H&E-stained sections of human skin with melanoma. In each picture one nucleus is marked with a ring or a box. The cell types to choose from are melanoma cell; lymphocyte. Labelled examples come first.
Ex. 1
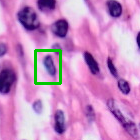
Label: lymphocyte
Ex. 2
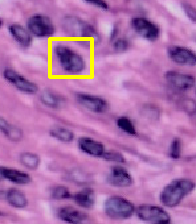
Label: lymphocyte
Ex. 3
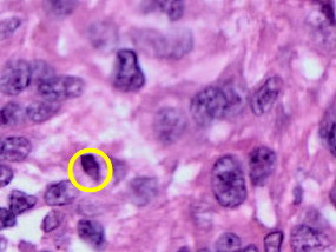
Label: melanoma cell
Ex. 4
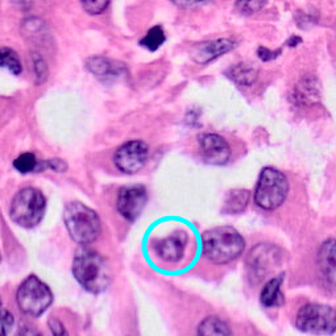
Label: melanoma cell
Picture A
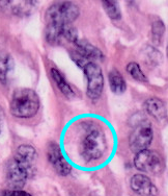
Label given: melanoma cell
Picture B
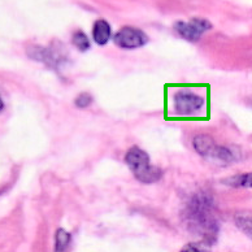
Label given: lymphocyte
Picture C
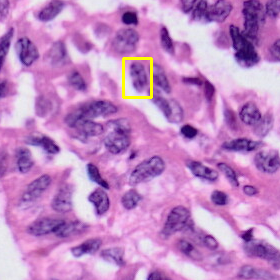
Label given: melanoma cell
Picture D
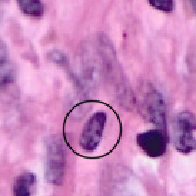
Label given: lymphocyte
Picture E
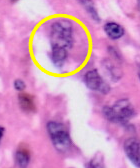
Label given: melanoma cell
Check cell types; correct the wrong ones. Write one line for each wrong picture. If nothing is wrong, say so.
All labels are correct.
